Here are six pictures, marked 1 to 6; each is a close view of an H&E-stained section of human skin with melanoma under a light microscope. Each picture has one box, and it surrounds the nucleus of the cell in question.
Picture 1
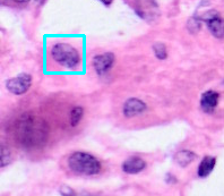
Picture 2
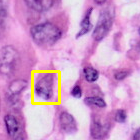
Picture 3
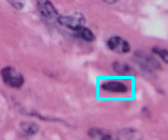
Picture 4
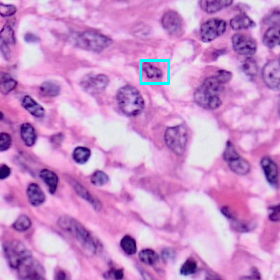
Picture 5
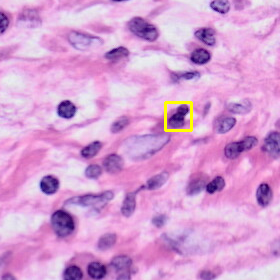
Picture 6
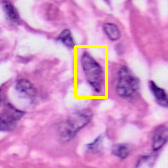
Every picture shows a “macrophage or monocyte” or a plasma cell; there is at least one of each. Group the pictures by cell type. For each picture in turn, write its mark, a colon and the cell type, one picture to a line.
1: macrophage or monocyte
2: macrophage or monocyte
3: plasma cell
4: macrophage or monocyte
5: plasma cell
6: macrophage or monocyte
